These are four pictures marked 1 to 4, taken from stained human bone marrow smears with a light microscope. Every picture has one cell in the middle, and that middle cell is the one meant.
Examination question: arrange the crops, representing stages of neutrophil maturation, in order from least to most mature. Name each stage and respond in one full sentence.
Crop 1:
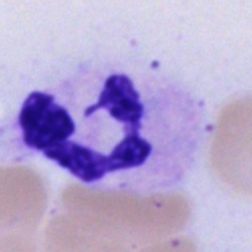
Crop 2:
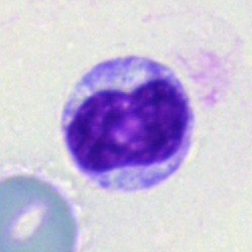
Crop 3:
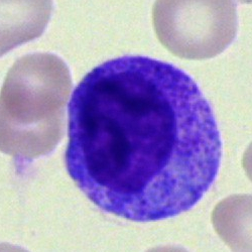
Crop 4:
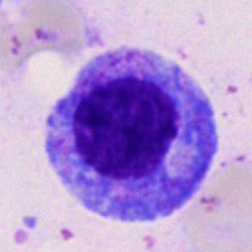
From least to most mature, the sequence is given by crop 4 (a promyelocyte), crop 3 (a myelocyte), crop 2 (a metamyelocyte) and crop 1 (a segmented neutrophil).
